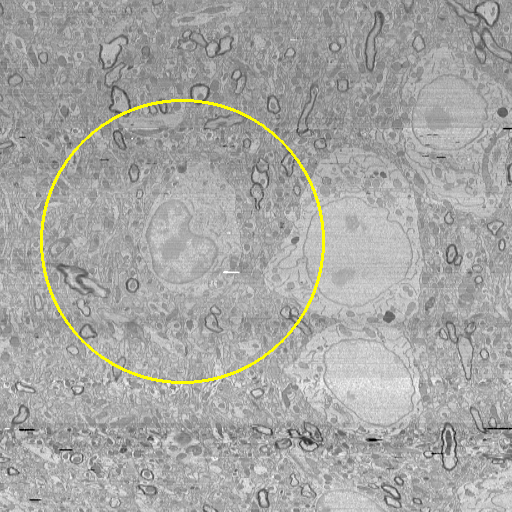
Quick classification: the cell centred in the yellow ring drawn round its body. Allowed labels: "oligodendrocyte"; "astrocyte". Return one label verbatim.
oligodendrocyte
